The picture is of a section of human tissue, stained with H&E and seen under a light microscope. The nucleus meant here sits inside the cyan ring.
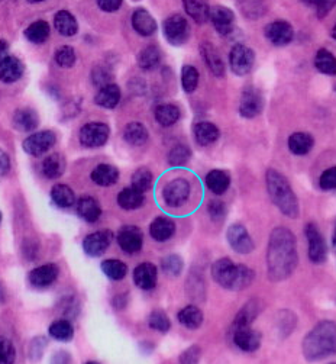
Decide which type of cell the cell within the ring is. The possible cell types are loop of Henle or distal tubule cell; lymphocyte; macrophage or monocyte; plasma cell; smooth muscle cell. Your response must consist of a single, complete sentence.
Right, so the cell within the ring is a plasma cell, to answer that.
